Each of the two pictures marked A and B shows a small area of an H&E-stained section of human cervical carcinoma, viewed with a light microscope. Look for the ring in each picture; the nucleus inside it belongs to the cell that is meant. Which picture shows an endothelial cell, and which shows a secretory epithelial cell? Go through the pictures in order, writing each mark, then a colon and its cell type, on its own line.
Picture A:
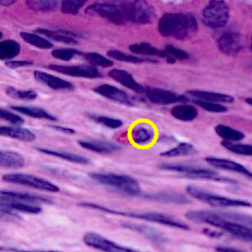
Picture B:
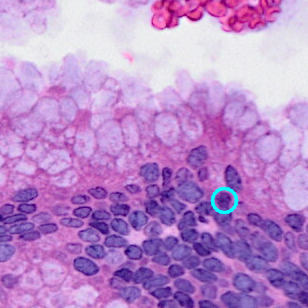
A: endothelial cell
B: secretory epithelial cell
